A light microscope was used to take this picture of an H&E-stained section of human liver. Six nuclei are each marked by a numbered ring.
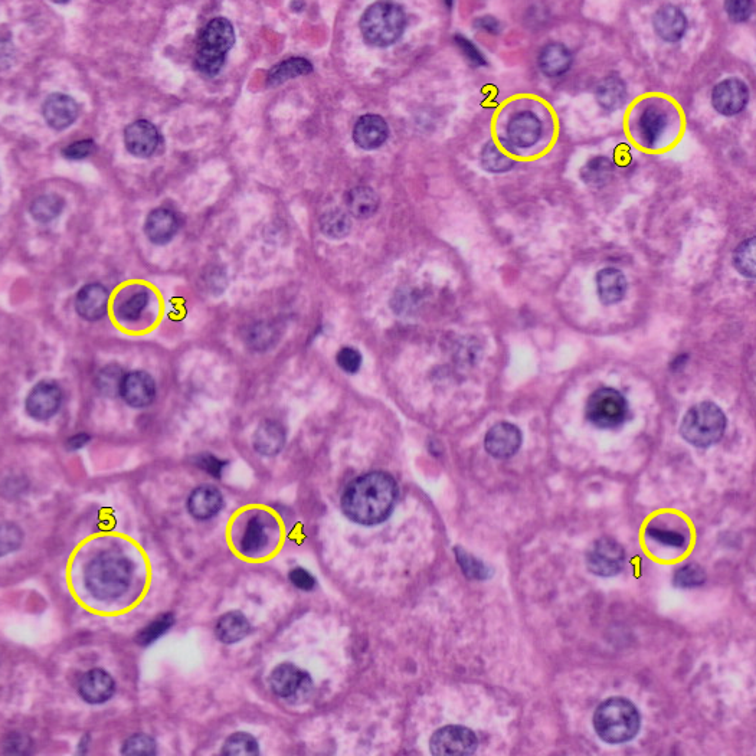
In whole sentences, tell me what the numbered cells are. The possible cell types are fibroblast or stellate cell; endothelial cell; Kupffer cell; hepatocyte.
Cells 1 and 4 are fibroblasts or stellate cells. Cells 2 and 5 are hepatocytes. Cell 3 is a Kupffer cell. Cell 6 is an endothelial cell.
